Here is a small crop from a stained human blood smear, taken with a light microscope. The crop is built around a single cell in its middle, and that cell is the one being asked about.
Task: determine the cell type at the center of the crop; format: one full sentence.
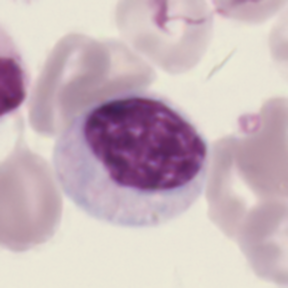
The central cell shown in this smear crop is a metamyelocyte.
